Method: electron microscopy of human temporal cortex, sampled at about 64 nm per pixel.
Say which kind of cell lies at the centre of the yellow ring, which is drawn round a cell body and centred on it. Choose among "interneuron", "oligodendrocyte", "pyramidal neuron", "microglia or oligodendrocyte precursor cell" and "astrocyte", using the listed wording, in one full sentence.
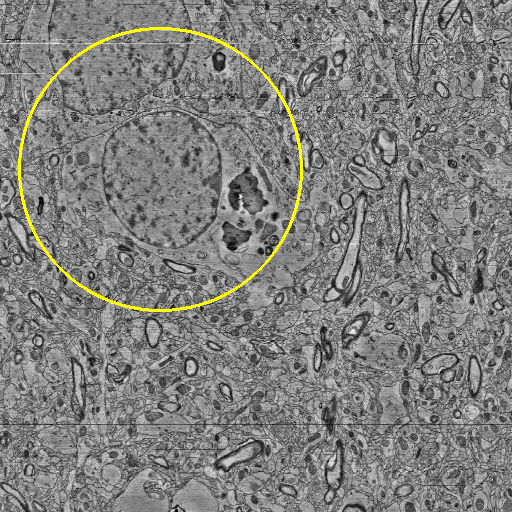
Going by the list, the cell at the yellow ring's centre is an astrocyte.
